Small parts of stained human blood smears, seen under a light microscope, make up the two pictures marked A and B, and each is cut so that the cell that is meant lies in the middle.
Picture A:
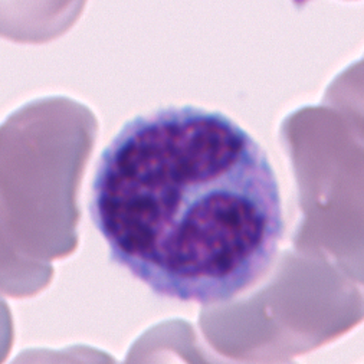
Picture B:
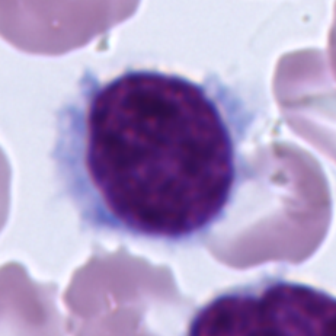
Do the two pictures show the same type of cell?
no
